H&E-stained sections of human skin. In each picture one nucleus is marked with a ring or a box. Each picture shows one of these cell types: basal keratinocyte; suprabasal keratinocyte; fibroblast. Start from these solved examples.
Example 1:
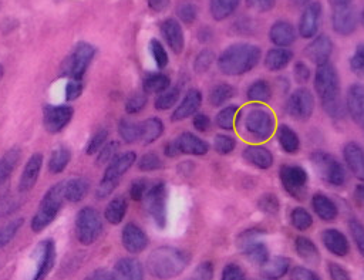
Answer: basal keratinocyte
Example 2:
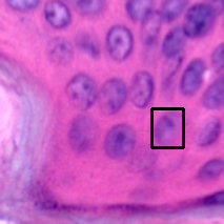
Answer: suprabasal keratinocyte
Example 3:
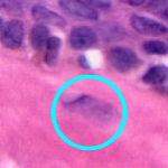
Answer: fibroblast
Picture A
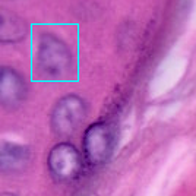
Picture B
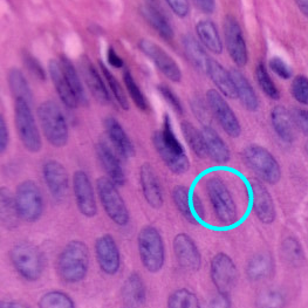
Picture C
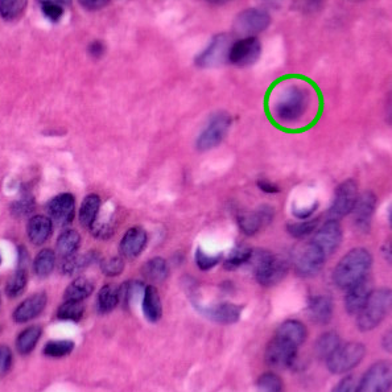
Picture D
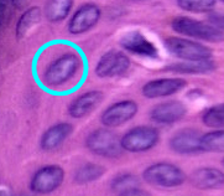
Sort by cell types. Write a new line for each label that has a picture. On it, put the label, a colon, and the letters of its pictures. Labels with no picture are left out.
suprabasal keratinocyte: A, B, D
fibroblast: C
